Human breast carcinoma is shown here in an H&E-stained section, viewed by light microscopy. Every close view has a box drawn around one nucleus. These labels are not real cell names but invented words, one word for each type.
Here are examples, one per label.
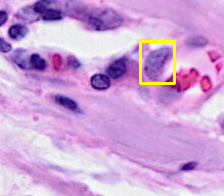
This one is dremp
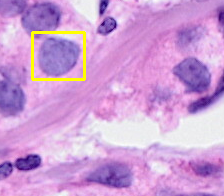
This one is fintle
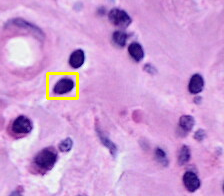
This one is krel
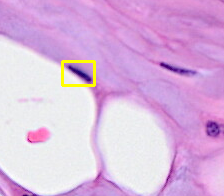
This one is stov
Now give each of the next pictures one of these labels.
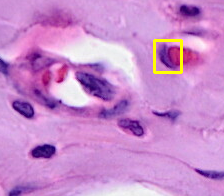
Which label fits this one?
dremp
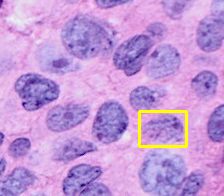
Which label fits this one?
fintle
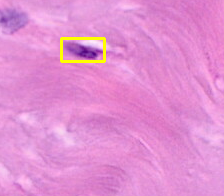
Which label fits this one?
stov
